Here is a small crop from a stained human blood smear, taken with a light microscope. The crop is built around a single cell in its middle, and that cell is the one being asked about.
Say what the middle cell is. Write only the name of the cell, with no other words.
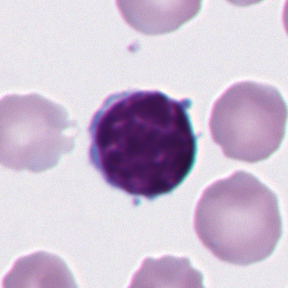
typical lymphocyte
